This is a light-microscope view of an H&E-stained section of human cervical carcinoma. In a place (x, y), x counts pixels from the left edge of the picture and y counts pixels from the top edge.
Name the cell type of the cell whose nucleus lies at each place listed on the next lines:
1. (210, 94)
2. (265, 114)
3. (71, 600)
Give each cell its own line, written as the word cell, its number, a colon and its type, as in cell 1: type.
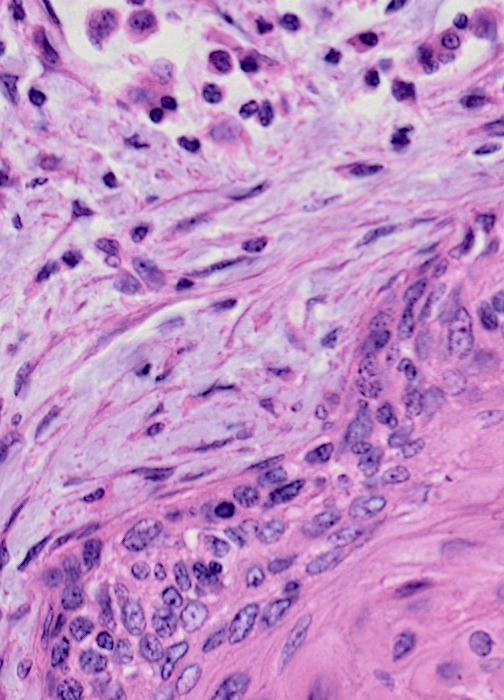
cell 1: lymphocyte
cell 2: lymphocyte
cell 3: squamous carcinoma cell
